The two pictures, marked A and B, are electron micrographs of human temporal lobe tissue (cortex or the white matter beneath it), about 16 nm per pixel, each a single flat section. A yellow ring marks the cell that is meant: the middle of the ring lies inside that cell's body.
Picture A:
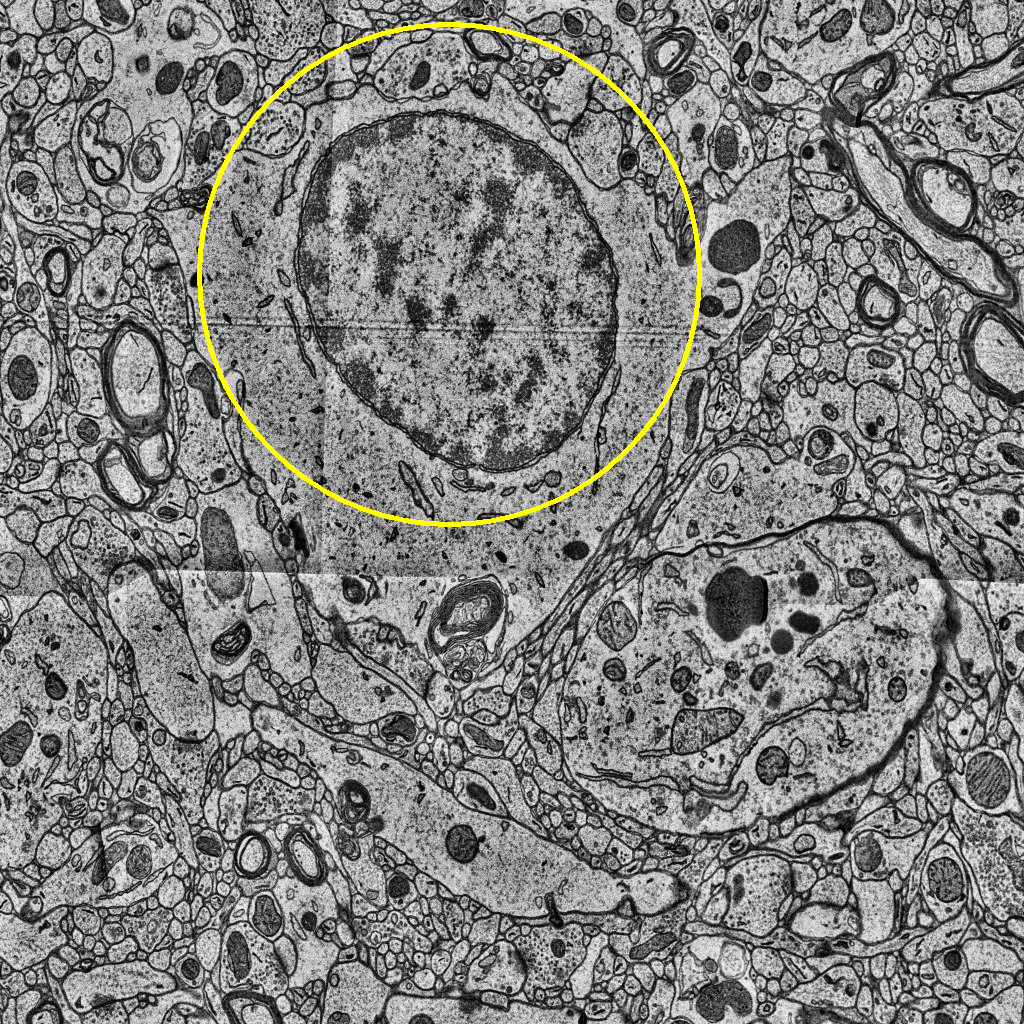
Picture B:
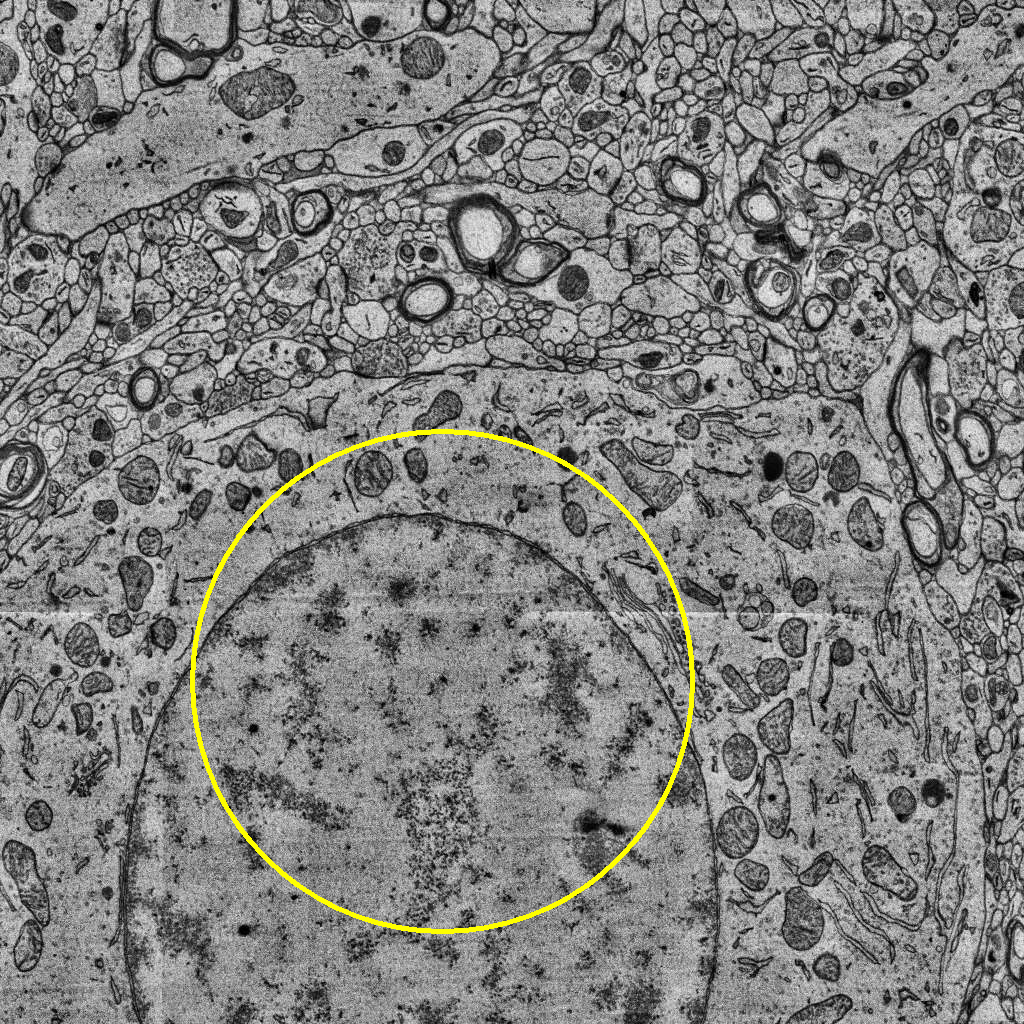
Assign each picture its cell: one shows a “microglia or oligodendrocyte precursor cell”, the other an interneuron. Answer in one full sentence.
In picture A the cell is a “microglia or oligodendrocyte precursor cell”; in picture B, an interneuron.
